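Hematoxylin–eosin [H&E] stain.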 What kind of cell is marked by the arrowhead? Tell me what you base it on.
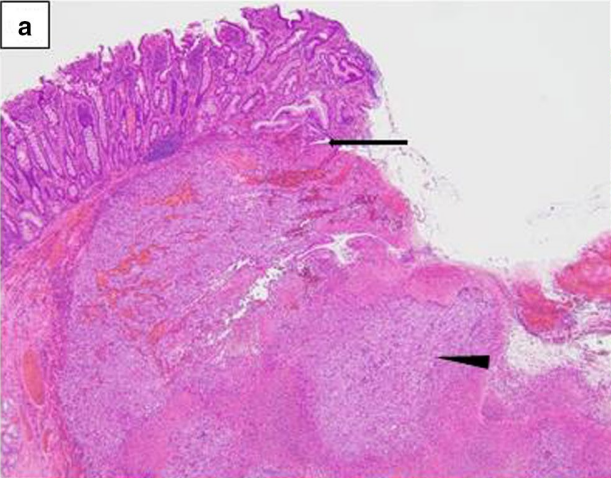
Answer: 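Tumor cells. The arrowhead points into a dense, cellular mass with hemorrhagic areas. The mass is distinct from the overlying glandular mucosa.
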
